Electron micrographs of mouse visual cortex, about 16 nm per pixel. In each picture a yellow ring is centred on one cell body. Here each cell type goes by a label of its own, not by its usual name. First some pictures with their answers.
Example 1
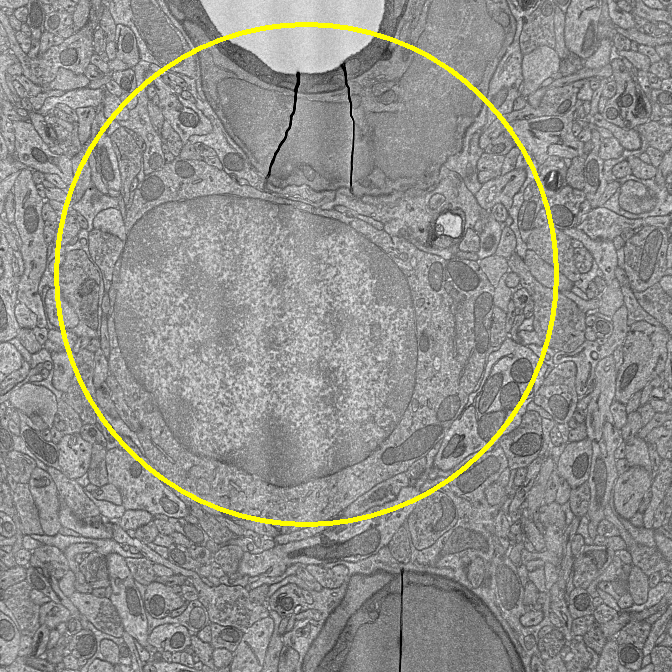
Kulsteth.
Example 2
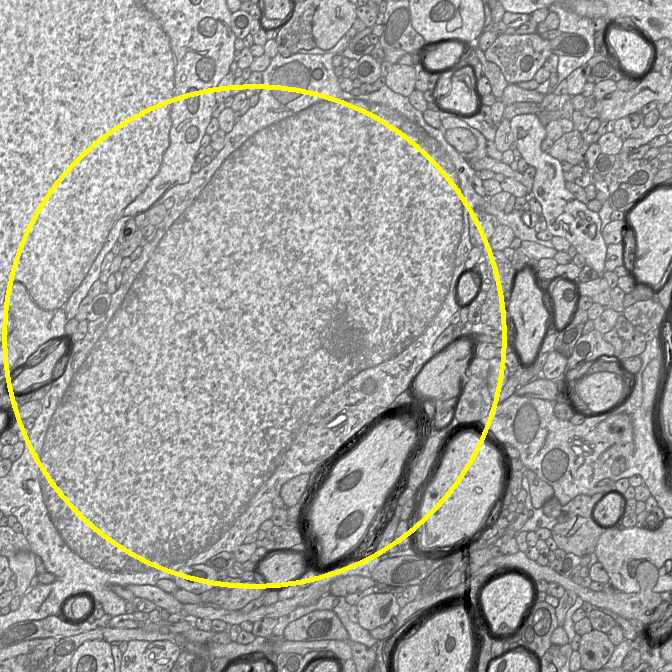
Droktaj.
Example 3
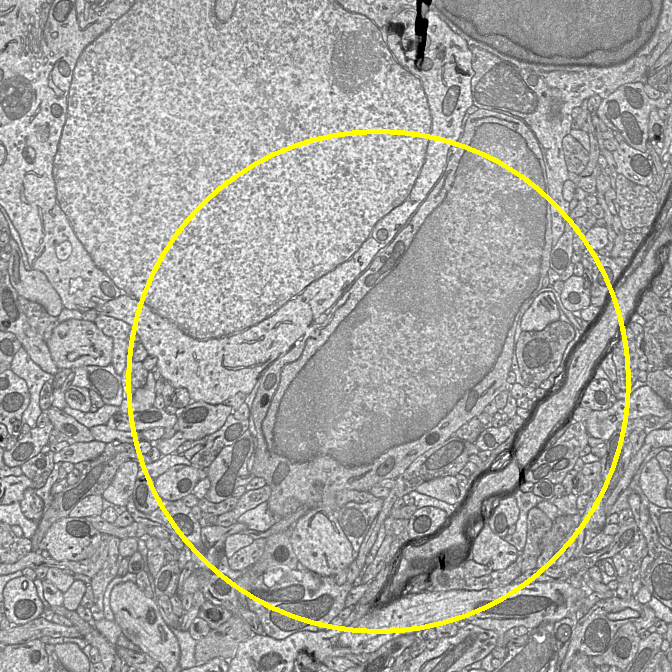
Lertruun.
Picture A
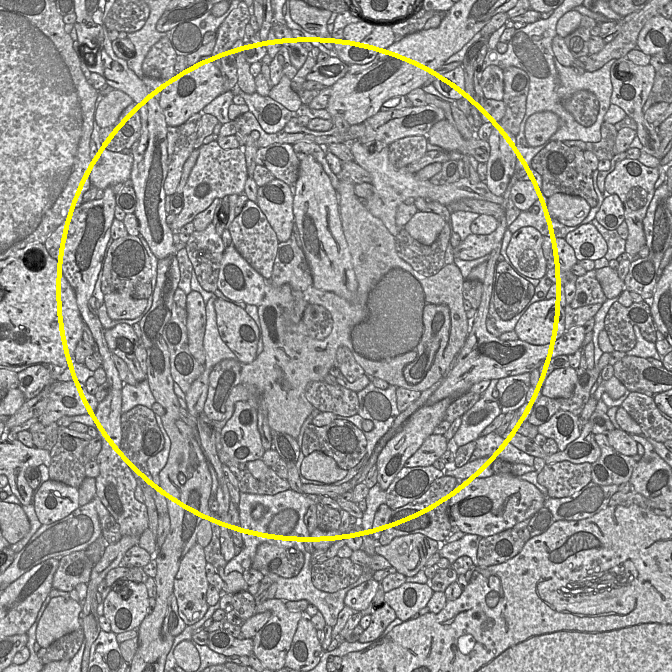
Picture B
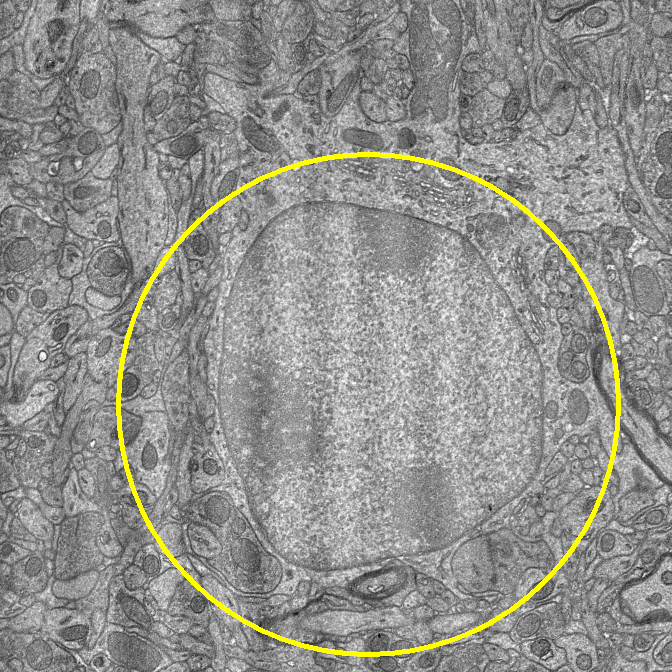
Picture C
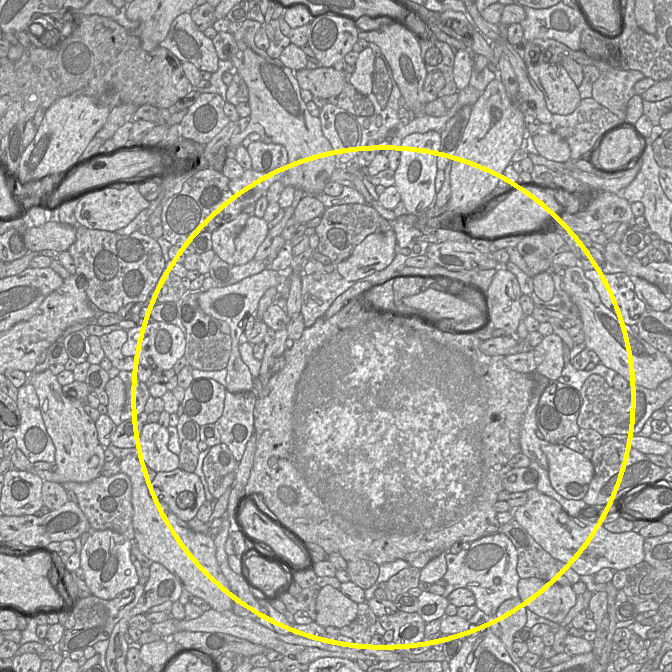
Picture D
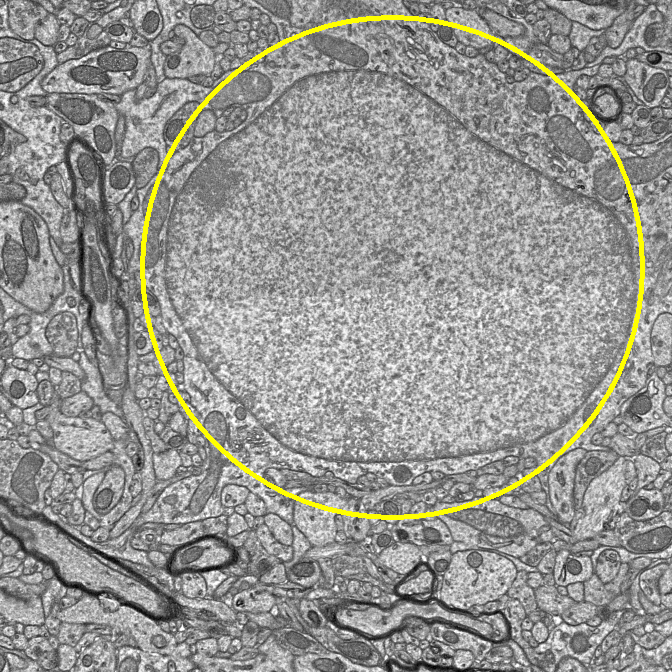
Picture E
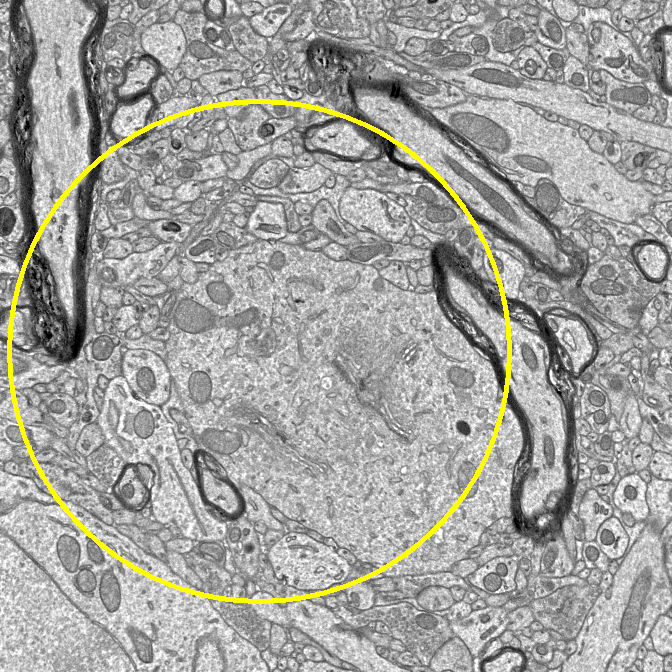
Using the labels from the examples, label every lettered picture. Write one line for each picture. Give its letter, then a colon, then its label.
A: Lertruun.
B: Droktaj.
C: Kulsteth.
D: Droktaj.
E: Kulsteth.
